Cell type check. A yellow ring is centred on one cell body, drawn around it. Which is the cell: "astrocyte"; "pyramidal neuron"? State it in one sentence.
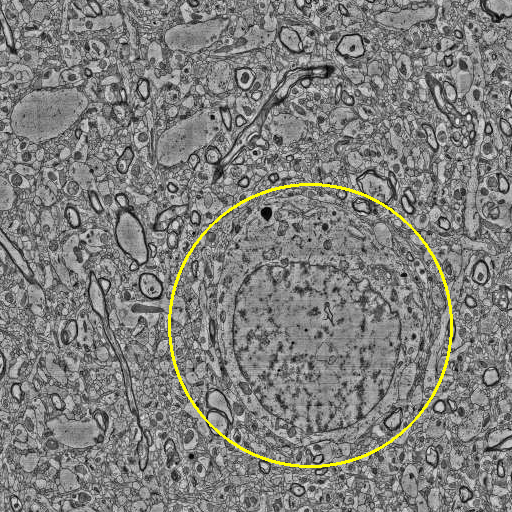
The cell body at the ring's centre belongs to a pyramidal neuron.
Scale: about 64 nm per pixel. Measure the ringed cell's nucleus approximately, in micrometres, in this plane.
About 11 micrometres across, as seen in this plane.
